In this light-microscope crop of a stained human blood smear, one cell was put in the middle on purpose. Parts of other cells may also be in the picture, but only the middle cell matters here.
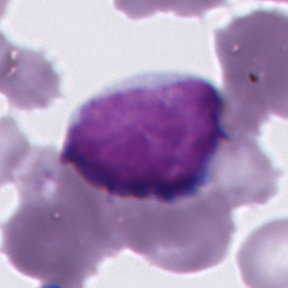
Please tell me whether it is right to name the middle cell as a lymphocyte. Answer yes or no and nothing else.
no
